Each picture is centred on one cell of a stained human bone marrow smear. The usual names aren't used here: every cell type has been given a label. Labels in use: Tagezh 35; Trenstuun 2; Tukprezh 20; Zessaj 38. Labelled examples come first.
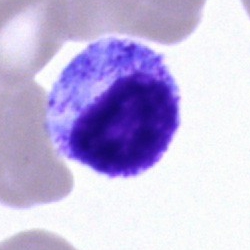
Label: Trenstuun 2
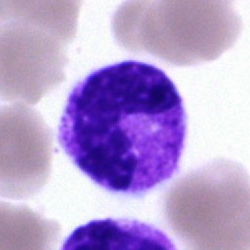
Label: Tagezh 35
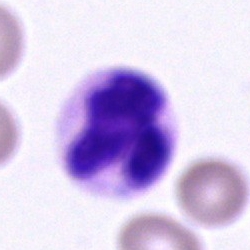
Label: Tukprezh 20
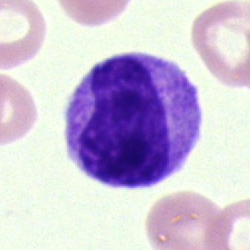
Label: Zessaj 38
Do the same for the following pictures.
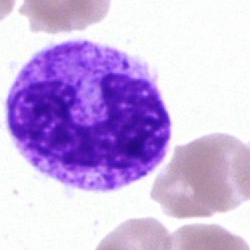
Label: Tagezh 35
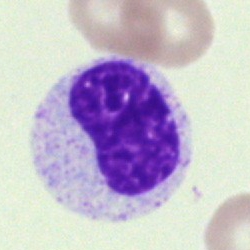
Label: Zessaj 38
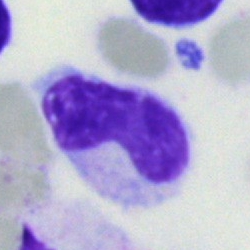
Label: Tagezh 35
